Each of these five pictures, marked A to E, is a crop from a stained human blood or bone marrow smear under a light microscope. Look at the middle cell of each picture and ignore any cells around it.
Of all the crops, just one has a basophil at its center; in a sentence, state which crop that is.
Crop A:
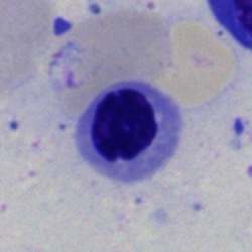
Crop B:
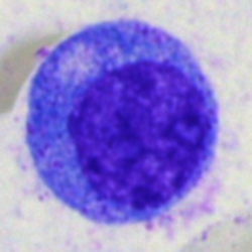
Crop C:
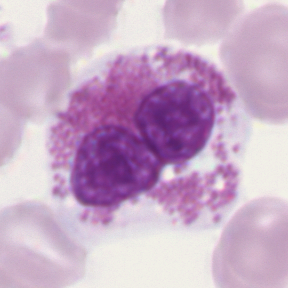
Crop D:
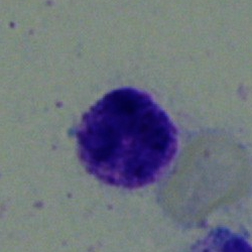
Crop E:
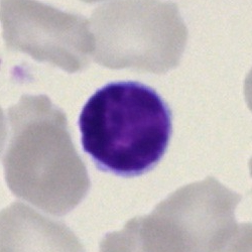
Crop D is identified as the crop showing a basophil.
